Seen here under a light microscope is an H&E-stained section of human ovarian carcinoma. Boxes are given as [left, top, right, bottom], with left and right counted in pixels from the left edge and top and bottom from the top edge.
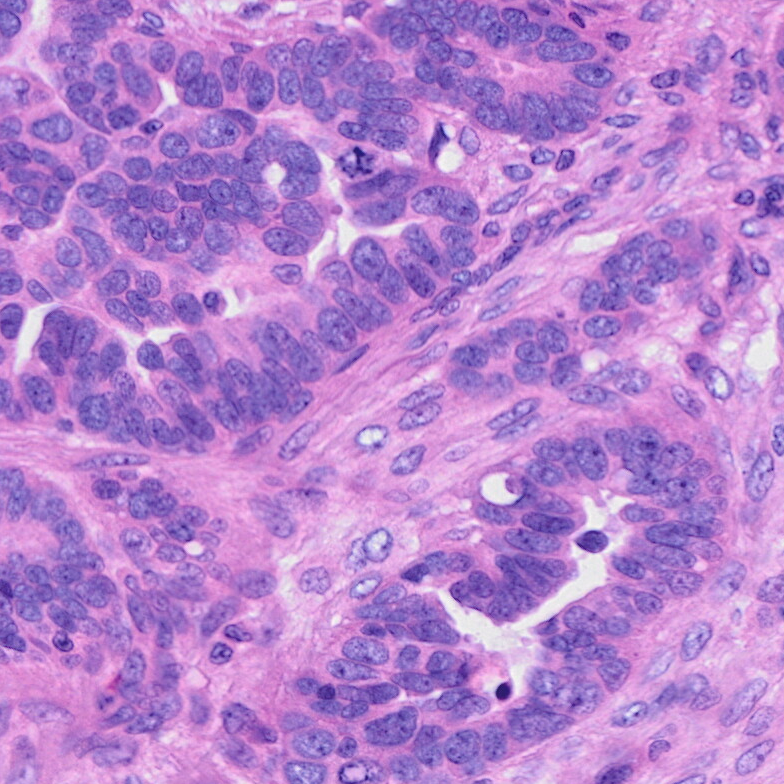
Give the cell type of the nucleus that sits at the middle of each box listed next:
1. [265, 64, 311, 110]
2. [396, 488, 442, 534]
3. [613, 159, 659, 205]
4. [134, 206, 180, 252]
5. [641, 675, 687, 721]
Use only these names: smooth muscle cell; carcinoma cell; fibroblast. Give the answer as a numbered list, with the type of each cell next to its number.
1. carcinoma cell
2. fibroblast
3. fibroblast
4. carcinoma cell
5. fibroblast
